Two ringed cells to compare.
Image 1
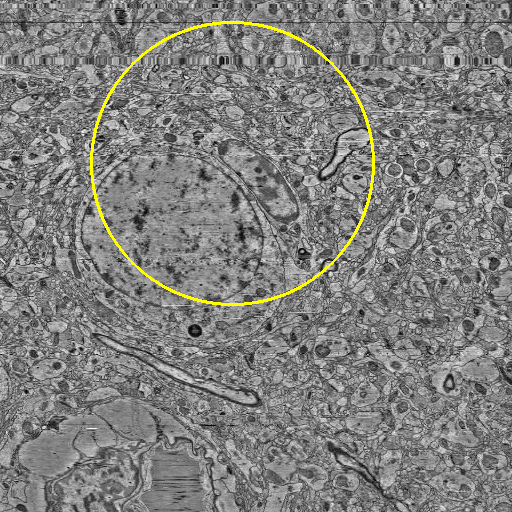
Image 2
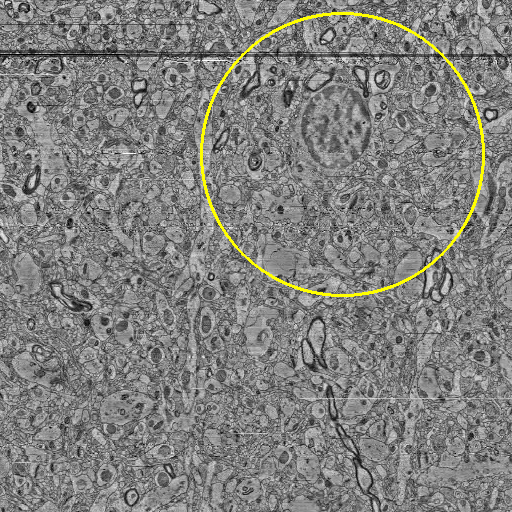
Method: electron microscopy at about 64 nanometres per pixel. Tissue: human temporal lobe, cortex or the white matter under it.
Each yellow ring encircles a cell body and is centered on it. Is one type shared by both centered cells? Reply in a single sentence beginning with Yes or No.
No, two types are found among the cells at the centers of the rings.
